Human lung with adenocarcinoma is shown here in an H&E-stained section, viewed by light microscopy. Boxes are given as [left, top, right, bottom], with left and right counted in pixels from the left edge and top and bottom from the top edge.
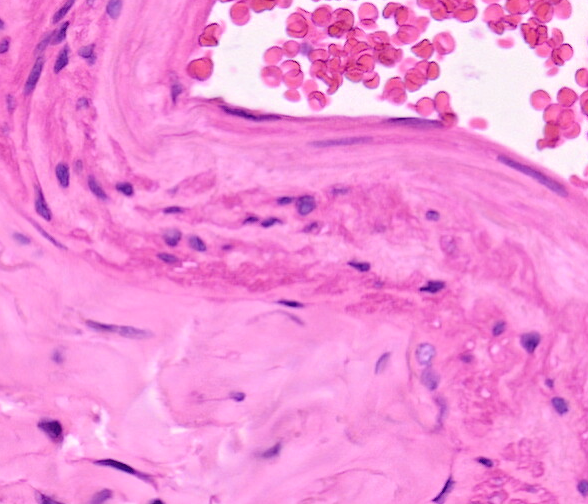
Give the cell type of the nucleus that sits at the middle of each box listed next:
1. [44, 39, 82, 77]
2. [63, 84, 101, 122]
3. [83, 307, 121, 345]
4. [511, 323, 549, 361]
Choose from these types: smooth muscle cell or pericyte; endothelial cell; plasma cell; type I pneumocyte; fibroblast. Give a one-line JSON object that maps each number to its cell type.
{"1": "smooth muscle cell or pericyte", "2": "smooth muscle cell or pericyte", "3": "fibroblast", "4": "smooth muscle cell or pericyte"}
